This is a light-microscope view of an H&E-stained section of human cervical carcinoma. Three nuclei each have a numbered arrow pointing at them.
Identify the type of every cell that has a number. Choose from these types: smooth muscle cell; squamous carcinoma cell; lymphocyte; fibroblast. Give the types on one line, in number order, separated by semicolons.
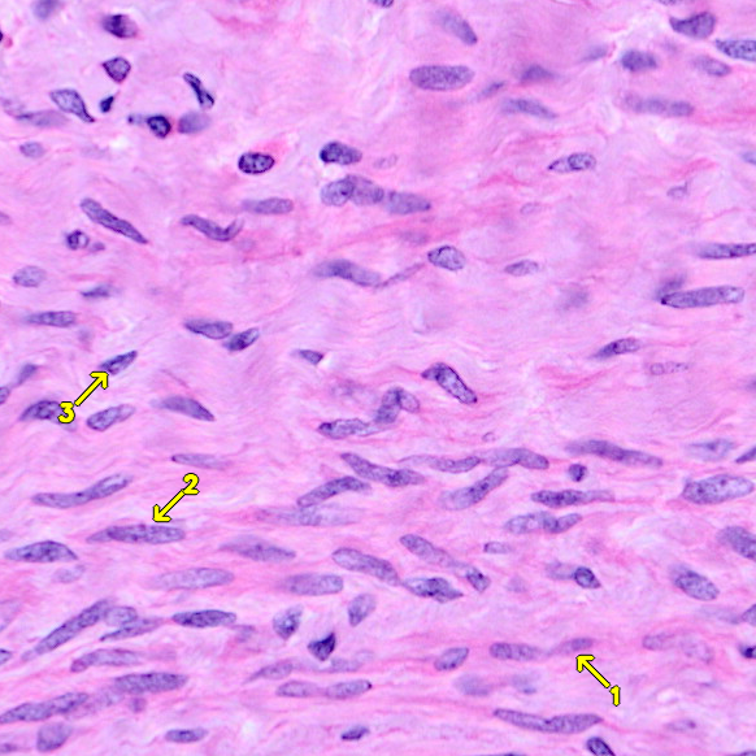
smooth muscle cell; smooth muscle cell; fibroblast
